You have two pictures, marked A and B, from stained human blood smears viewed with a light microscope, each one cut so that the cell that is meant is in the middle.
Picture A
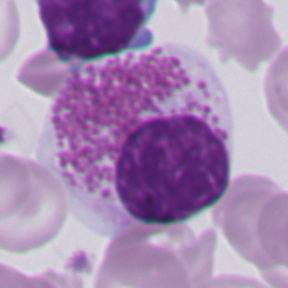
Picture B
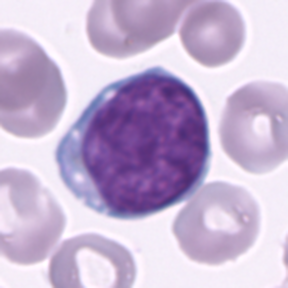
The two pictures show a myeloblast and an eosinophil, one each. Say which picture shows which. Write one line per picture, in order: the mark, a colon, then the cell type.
A: eosinophil
B: myeloblast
